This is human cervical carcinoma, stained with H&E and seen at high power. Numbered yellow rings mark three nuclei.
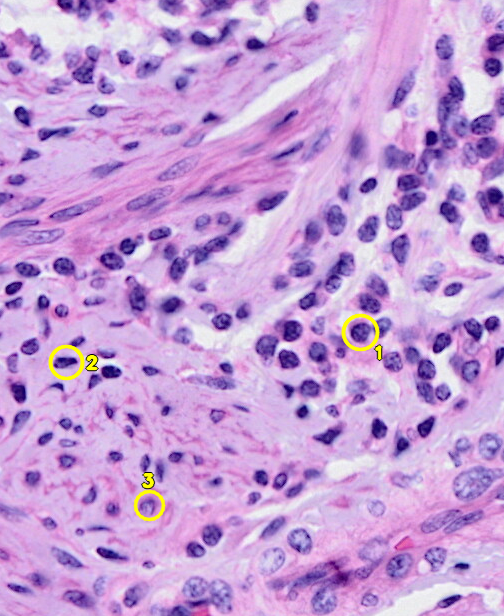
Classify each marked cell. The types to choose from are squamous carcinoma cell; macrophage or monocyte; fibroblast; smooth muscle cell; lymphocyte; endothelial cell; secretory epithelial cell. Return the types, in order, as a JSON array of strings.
["lymphocyte", "lymphocyte", "smooth muscle cell"]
